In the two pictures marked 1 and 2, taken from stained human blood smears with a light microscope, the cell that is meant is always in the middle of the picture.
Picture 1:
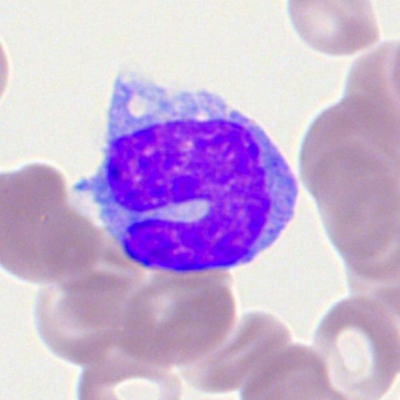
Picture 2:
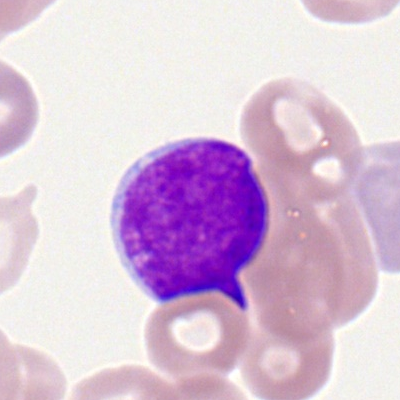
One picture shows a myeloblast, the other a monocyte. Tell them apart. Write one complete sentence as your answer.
The cell in picture 1 is a monocyte, and the one in picture 2 is a myeloblast.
